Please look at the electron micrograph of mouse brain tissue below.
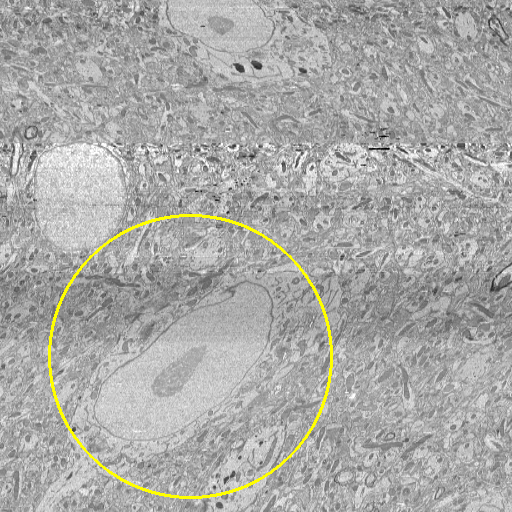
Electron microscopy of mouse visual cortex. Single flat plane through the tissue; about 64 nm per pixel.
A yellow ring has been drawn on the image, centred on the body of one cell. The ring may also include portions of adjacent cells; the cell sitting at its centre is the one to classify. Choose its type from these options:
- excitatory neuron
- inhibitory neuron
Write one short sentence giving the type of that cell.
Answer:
The cell in the middle of the ring is an excitatory neuron.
